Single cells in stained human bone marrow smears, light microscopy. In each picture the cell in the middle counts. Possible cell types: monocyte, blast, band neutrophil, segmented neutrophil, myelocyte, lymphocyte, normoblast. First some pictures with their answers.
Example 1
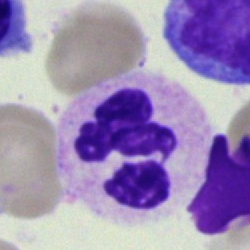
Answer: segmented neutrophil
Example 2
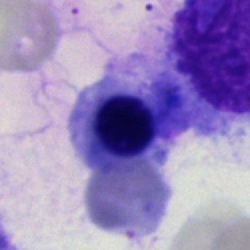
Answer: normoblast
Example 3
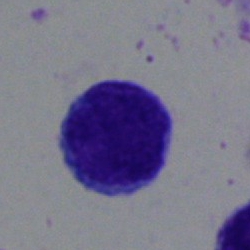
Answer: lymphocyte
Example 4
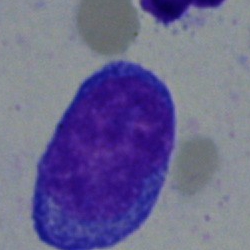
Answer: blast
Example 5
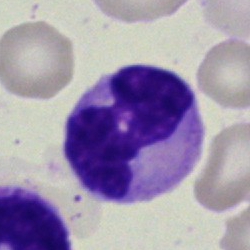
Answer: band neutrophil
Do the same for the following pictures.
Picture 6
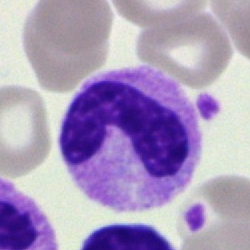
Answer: band neutrophil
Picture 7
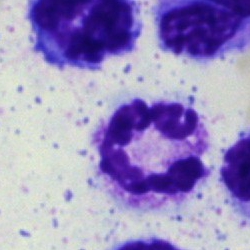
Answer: segmented neutrophil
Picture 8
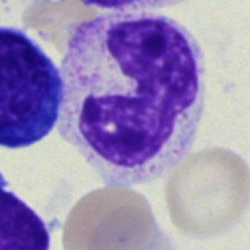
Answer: band neutrophil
